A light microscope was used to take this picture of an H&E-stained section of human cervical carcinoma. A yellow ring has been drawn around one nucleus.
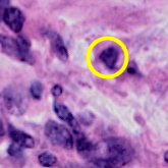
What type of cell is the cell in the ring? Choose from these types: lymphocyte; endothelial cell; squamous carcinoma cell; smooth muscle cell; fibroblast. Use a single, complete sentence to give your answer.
In this section, the cell in the ring is a lymphocyte.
